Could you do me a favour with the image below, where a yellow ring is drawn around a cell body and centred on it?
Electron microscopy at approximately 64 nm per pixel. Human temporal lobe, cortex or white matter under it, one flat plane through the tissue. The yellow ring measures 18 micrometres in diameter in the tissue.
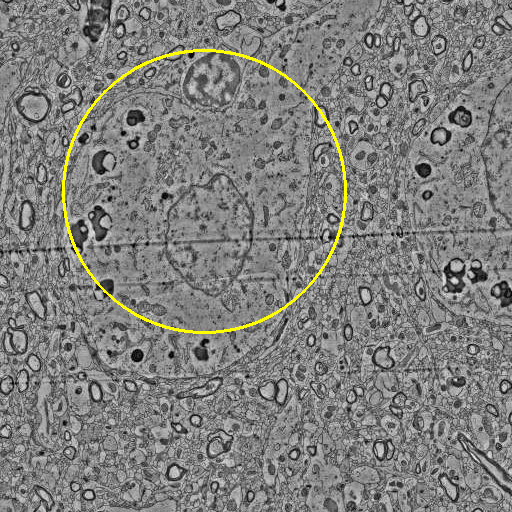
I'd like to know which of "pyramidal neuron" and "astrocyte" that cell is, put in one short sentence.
The cell at the ring's centre is a pyramidal neuron.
